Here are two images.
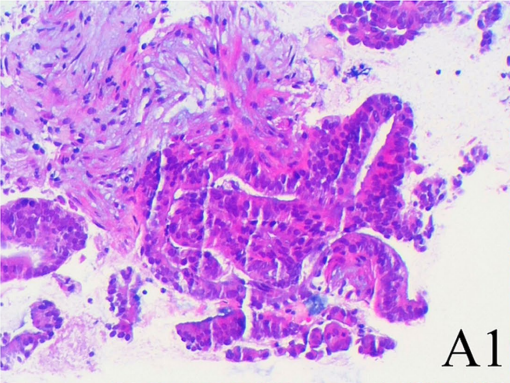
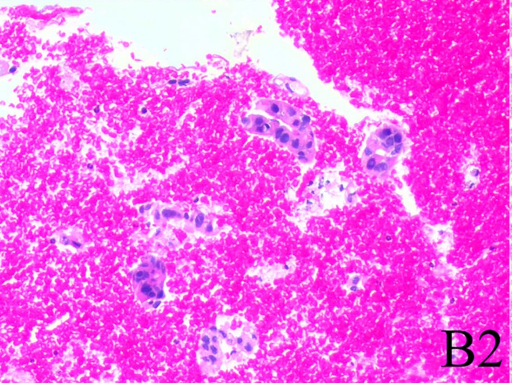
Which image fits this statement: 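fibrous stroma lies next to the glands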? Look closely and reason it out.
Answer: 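Second image: small epithelial clusters float in red blood cells with no fibrous tissue. First image: pale pink fibrous tissue with spindle nuclei lies against the glands. On this evidence: the first image.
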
